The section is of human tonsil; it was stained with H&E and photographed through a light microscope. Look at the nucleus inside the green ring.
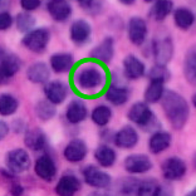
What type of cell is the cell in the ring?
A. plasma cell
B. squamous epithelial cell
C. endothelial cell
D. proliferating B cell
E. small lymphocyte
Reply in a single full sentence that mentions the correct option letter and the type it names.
Settle on option E; the cell in the ring is a small lymphocyte.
